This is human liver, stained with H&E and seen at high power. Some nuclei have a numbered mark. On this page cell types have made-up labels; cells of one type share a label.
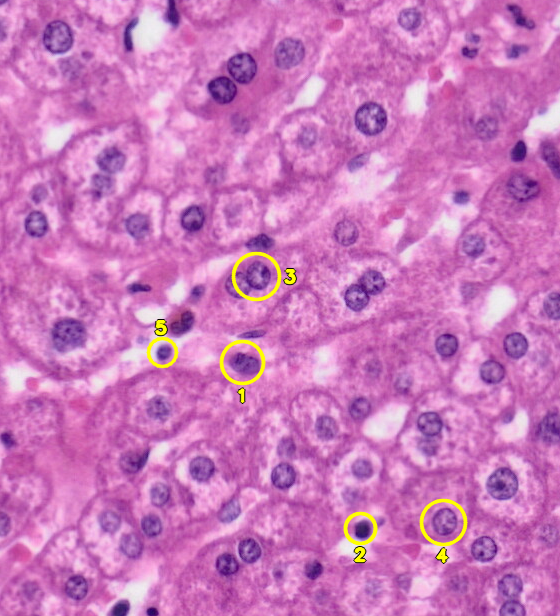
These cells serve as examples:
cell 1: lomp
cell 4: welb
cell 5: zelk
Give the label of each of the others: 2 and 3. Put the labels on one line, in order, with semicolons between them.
zelk; welb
